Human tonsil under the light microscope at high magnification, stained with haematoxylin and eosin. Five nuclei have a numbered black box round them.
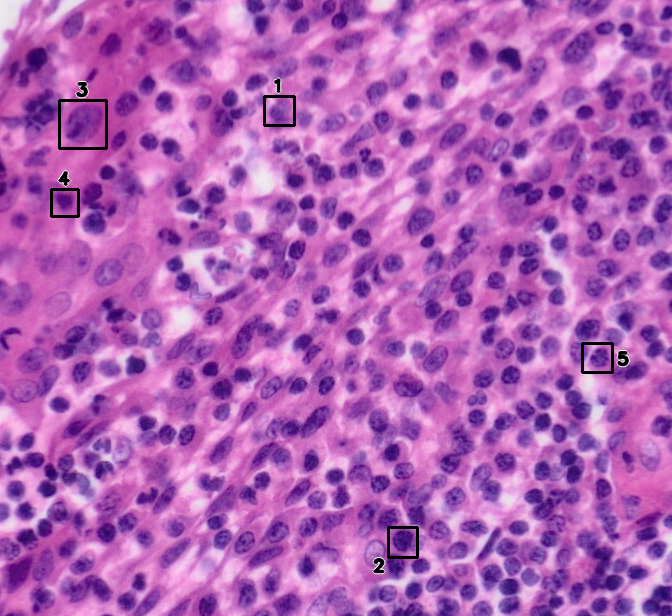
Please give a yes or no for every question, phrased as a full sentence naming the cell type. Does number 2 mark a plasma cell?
Yes, the cell that has number 2 is a plasma cell.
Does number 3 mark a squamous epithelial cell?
Yes, the numbered cell 3 is a squamous epithelial cell.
